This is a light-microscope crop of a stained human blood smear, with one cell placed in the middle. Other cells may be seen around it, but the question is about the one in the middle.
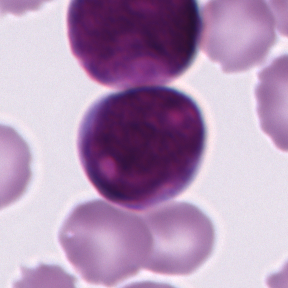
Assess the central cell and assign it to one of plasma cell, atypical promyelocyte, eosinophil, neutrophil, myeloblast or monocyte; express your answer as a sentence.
The crop's centre is taken up by a myeloblast.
